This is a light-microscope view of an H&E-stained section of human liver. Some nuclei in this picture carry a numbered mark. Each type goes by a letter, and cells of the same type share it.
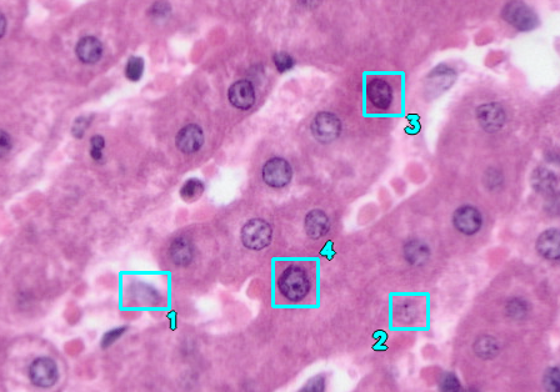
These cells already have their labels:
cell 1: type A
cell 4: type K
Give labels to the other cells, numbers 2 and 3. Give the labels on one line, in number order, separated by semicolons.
type K; type K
